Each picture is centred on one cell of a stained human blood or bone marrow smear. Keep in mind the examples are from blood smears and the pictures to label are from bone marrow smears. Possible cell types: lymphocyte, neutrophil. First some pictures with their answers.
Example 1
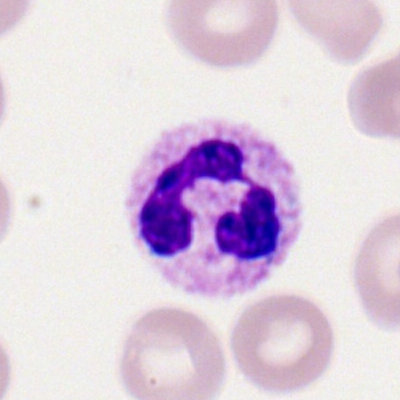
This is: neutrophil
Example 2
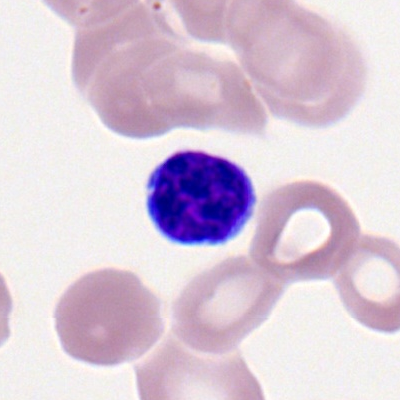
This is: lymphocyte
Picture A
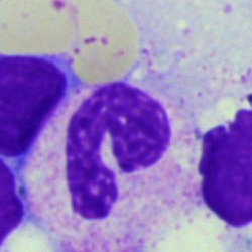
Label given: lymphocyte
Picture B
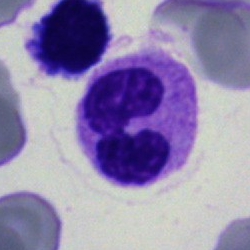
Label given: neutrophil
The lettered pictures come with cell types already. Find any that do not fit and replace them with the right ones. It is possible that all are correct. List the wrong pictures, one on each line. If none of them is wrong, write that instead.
Wrong: A (lymphocyte); correct: neutrophil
